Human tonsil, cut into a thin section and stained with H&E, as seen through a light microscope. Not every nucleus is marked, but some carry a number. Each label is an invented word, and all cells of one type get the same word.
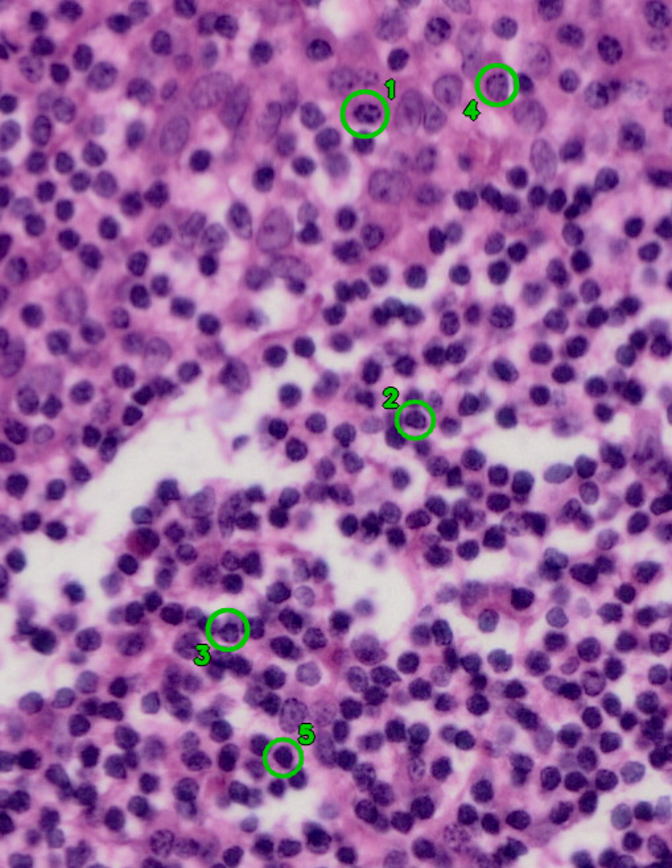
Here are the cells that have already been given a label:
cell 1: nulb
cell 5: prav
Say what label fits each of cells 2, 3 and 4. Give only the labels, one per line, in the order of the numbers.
prav
prav
nulb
